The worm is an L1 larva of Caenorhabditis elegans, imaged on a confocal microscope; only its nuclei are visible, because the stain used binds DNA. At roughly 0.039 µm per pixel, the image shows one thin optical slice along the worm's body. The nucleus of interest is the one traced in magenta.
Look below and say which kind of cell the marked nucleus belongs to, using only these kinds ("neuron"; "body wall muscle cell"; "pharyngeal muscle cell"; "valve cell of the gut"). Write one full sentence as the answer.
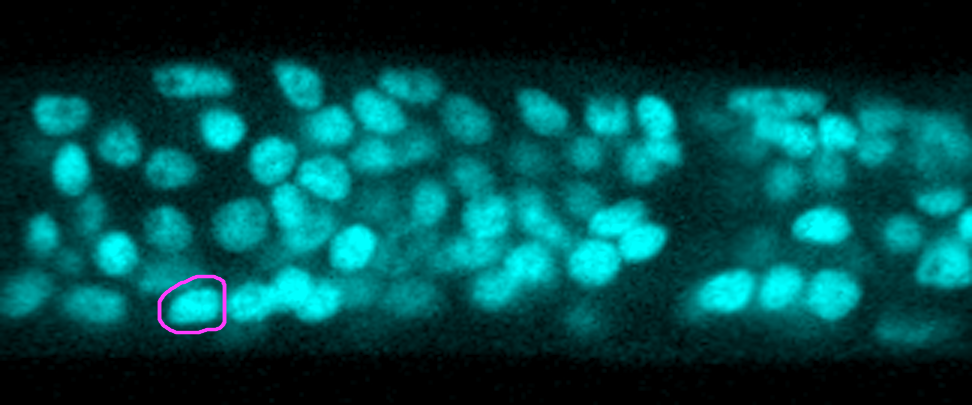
The marked nucleus is that of a neuron.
